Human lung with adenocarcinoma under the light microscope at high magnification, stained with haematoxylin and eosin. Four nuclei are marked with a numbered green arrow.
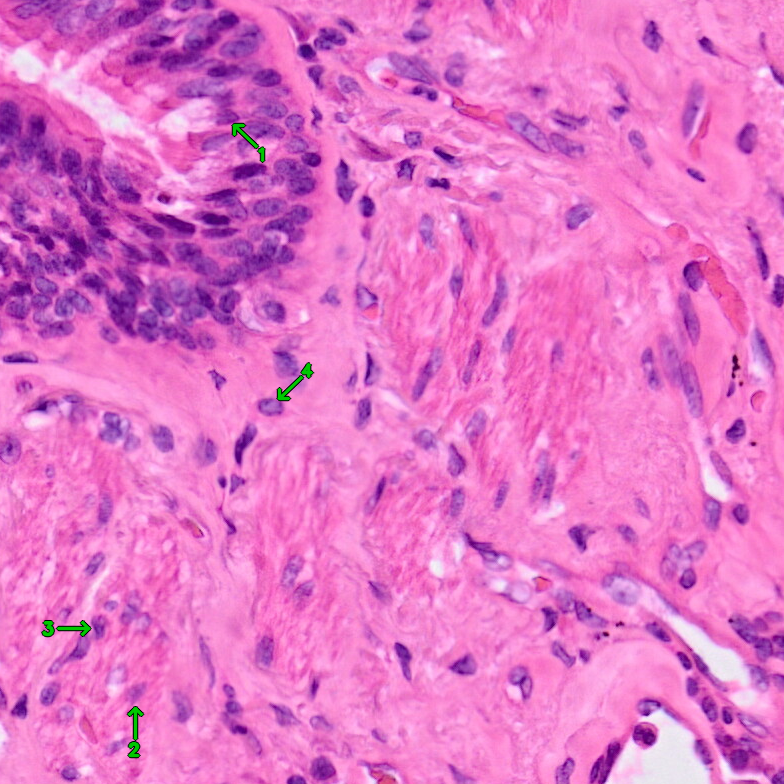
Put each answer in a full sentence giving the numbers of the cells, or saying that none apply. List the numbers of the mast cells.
Among the numbered cells, a mast cell occurs only once, as cell 4.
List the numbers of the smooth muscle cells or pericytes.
On this slide, the cells numbered 2 and 3 are smooth muscle cells or pericytes.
